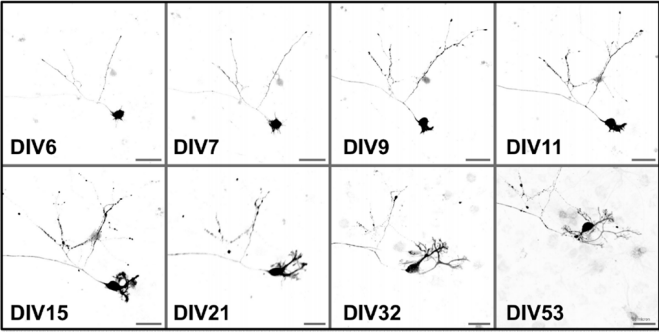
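A single Purkinje neuron is followed in the same field over a series of frames. Early on, the cell body carries only a few long, thin, sparsely branched processes. In later frames, a compact, bushy dendritic tree grows out from the cell body. A long thin process runs away from the cell throughout.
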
